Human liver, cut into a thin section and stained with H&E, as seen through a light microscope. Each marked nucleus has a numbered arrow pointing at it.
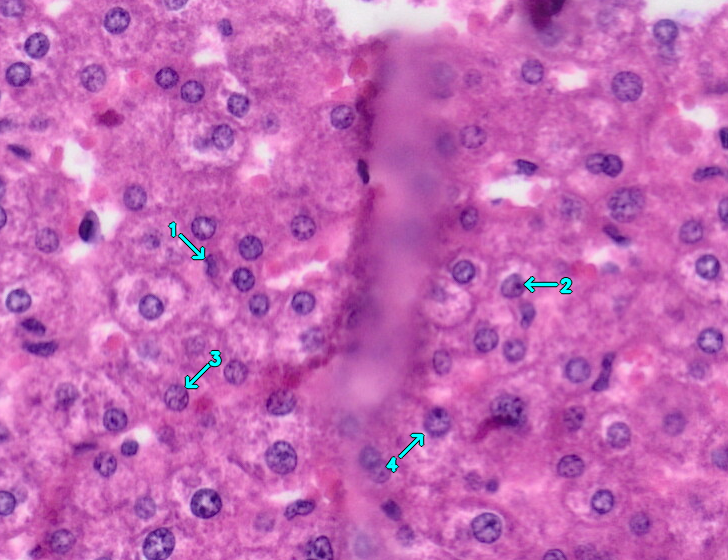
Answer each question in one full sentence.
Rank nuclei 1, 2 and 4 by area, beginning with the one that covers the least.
By area, going up from the smallest, they rank 1, 2, 4.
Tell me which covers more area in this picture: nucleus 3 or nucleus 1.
Nucleus 3 covers more area, about 1.5 times as much as nucleus 1.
